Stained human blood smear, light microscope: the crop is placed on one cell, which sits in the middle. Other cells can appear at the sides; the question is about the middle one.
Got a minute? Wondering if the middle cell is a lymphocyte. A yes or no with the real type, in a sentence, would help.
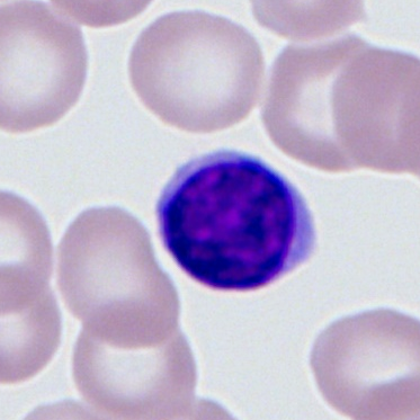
Yes, the crop is centred on a lymphocyte.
